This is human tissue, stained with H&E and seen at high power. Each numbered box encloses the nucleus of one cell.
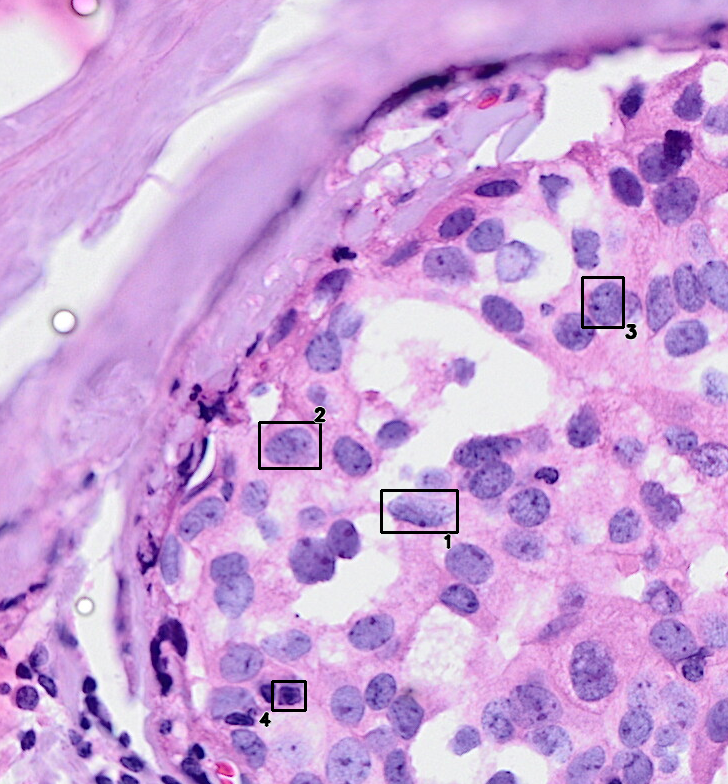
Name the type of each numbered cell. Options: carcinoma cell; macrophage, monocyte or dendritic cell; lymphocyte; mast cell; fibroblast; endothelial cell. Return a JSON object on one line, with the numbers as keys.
{"1": "carcinoma cell", "2": "carcinoma cell", "3": "carcinoma cell", "4": "lymphocyte"}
